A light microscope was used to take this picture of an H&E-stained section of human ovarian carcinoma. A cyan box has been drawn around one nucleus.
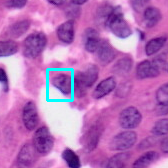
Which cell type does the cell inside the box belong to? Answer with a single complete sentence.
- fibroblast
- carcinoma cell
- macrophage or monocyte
To be brief about it, the cell inside the box is a macrophage or monocyte.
